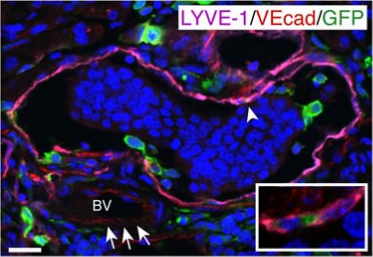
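Some cells of this lining are green, lying in line with unlabelled lining cells. Outside the vessel, scattered rounded green cells sit in the surrounding stroma among many blue nuclei. An inset shows two adjoining flat lining cells, one green.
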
